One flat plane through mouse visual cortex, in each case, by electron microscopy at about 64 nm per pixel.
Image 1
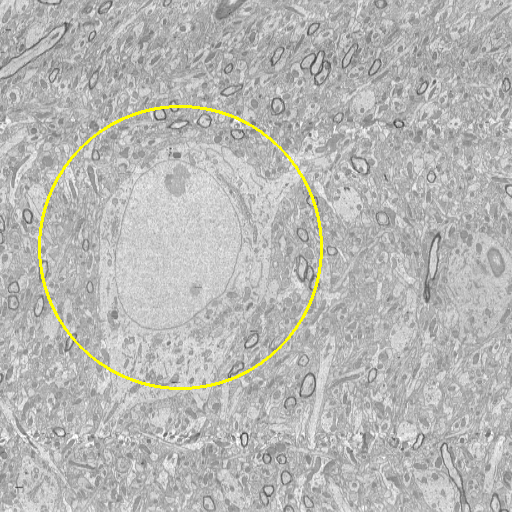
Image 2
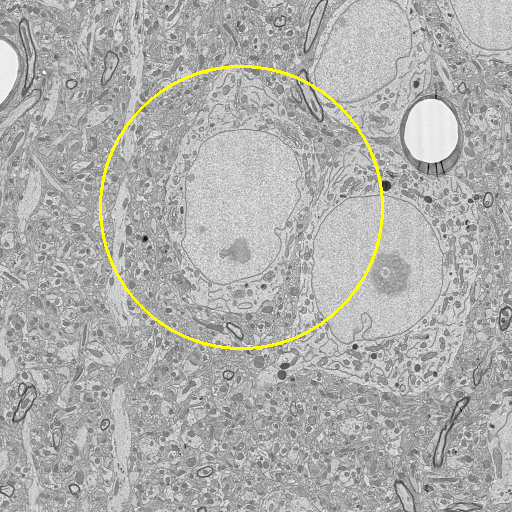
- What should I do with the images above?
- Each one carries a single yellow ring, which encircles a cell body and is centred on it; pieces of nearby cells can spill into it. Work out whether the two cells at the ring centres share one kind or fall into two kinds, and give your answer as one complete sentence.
The ring-centre cells of Image 1 and Image 2 share one kind.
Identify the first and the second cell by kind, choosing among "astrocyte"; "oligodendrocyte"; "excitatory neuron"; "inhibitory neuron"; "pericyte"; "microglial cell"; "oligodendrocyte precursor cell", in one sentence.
The cell at the ring centre is an excitatory neuron in both pictures.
